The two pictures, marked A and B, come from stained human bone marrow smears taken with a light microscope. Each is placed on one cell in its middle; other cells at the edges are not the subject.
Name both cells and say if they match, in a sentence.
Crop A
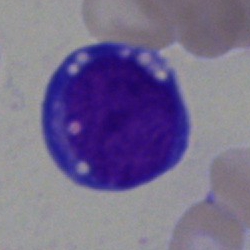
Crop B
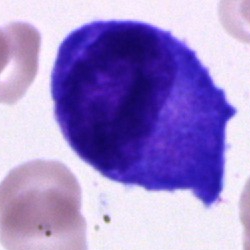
Yes, both crops here show blasts, the pair of them.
